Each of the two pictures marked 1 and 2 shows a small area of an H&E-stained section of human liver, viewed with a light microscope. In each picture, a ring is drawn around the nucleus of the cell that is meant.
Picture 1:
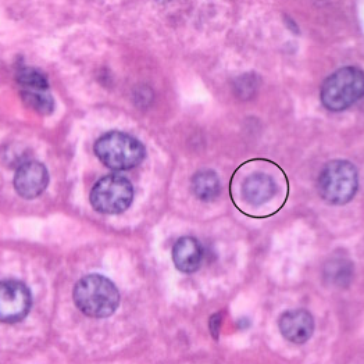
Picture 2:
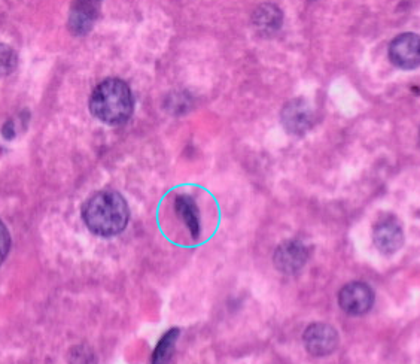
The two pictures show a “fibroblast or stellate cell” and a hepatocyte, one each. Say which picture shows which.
1: hepatocyte
2: fibroblast or stellate cell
